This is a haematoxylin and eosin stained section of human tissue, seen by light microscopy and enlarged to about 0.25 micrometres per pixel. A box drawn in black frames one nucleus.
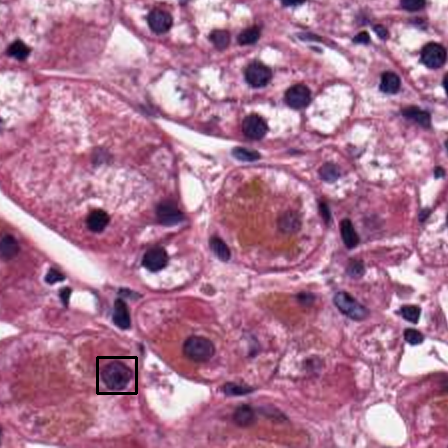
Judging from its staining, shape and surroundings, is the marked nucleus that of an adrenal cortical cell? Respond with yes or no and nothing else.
yes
